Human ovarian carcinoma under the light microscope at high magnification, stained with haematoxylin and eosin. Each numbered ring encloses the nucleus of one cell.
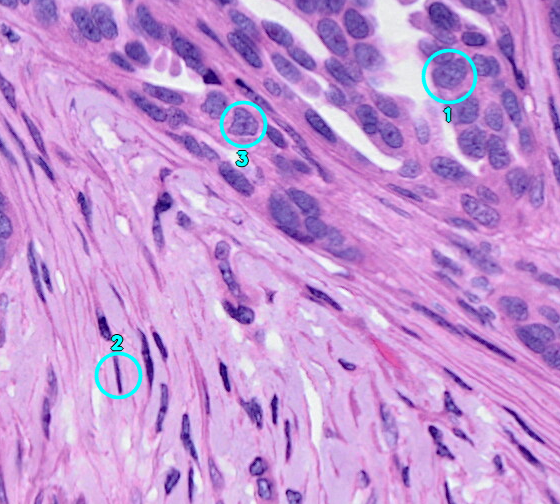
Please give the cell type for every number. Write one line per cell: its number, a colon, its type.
1: carcinoma cell
2: fibroblast
3: carcinoma cell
